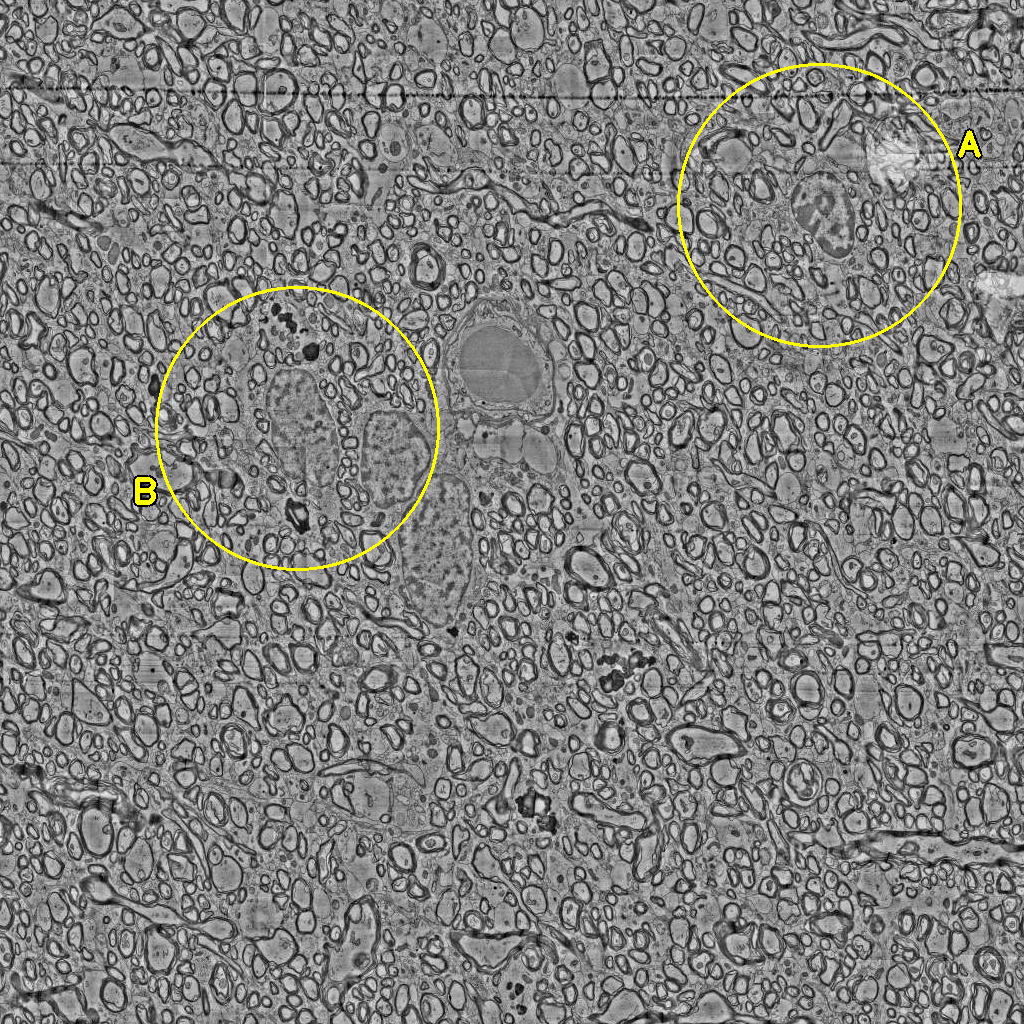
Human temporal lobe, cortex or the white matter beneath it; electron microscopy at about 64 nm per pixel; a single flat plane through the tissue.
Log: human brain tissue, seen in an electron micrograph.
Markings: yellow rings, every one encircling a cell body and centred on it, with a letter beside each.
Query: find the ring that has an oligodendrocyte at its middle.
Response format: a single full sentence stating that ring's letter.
The letter B marks the ring centred on the cell asked for in the image.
